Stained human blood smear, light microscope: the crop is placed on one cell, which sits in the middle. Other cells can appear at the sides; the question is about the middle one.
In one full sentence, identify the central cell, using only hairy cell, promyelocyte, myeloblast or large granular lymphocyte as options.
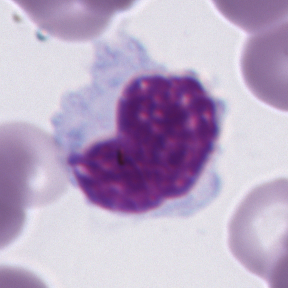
As for the central cell, it is a hairy cell.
